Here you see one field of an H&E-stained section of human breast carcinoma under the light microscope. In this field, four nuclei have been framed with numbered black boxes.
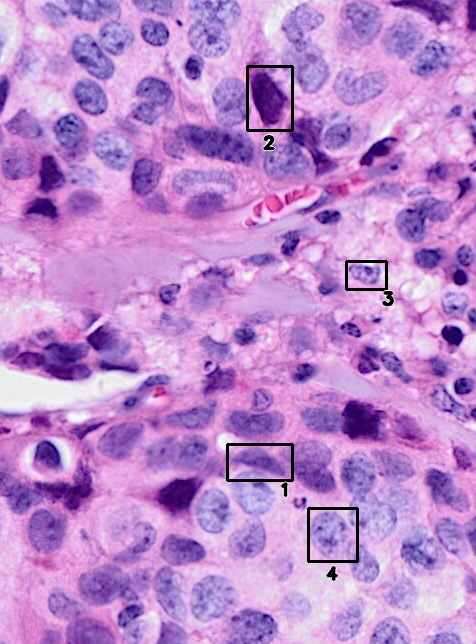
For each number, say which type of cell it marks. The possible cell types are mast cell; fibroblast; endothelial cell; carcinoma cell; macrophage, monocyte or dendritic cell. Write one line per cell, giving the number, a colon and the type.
1: carcinoma cell
2: carcinoma cell
3: macrophage, monocyte or dendritic cell
4: carcinoma cell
